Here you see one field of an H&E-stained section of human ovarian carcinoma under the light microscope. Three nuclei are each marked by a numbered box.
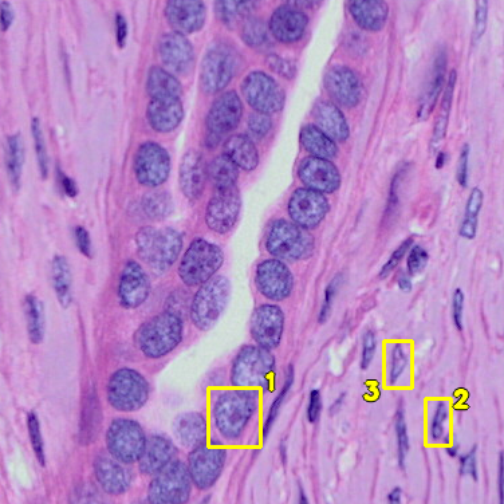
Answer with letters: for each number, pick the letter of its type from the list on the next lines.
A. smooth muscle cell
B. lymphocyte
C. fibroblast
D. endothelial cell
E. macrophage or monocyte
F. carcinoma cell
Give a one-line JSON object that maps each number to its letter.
{"1": "F", "2": "C", "3": "C"}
